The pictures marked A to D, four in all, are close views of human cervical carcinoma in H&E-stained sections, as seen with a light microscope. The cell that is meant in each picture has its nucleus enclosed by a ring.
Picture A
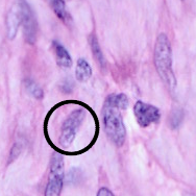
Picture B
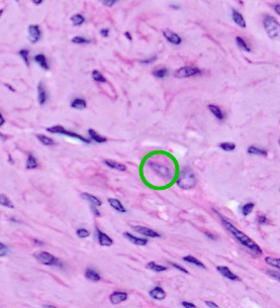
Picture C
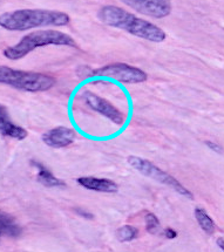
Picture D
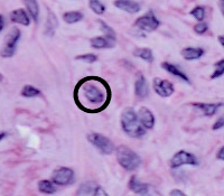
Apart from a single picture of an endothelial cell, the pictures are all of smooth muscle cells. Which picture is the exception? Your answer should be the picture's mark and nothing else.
B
